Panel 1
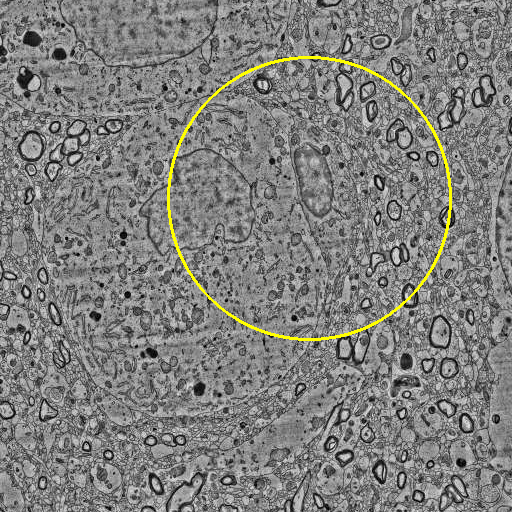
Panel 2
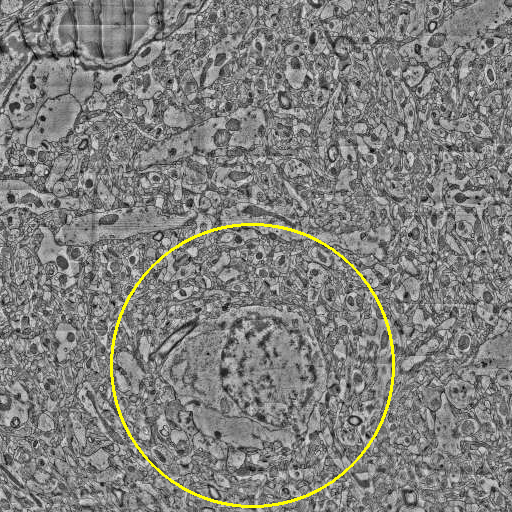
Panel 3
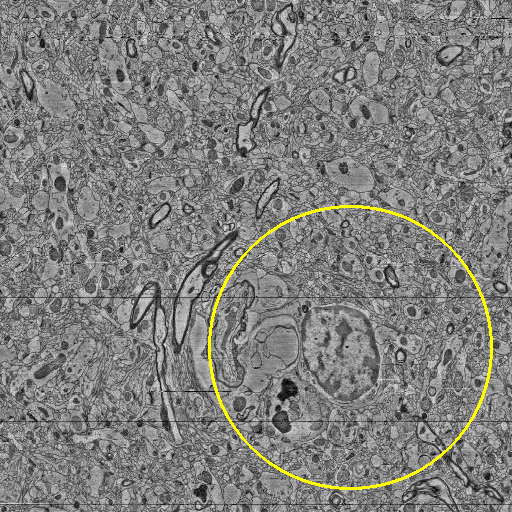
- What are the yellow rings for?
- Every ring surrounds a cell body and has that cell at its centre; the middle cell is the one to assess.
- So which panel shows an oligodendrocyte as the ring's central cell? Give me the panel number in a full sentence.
The panel whose ring is centred on the cell in question is panel 1.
